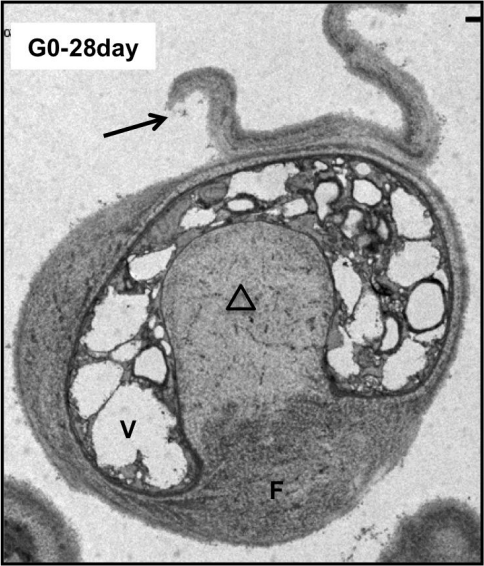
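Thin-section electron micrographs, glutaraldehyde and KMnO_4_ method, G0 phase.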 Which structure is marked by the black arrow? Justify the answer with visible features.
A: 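Peeled-off cell wall. A thin wavy band of wall material lifts away from the cell surface at the top. The detached band has the same grey fibrous texture as the wall around the cell.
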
